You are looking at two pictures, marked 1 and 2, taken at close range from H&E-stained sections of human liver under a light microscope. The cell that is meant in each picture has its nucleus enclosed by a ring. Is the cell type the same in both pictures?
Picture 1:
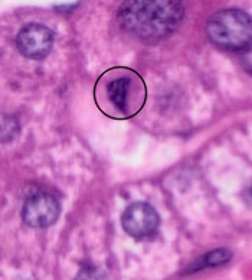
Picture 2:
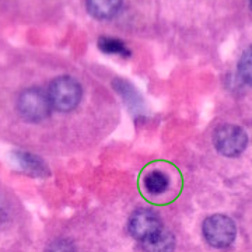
no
